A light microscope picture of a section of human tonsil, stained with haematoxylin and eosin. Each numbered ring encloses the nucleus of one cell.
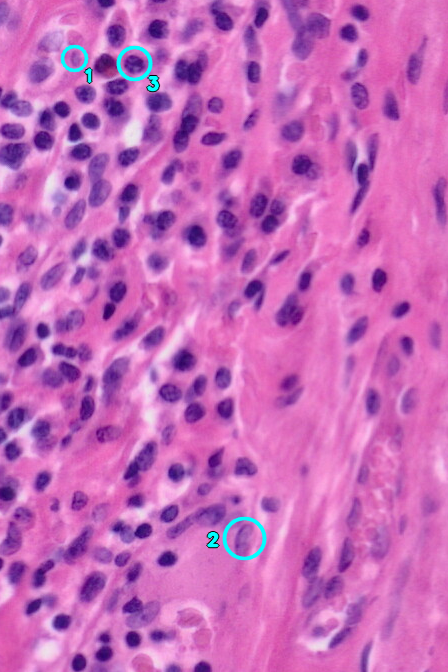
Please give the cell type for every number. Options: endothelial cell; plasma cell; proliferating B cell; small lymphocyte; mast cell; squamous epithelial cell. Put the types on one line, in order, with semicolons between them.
endothelial cell; endothelial cell; plasma cell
